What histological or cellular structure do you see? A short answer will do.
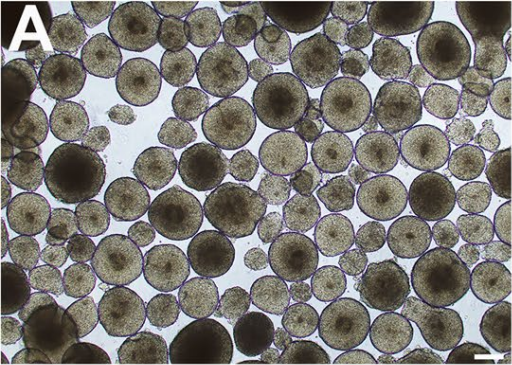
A: Free-floating embryoid bodies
